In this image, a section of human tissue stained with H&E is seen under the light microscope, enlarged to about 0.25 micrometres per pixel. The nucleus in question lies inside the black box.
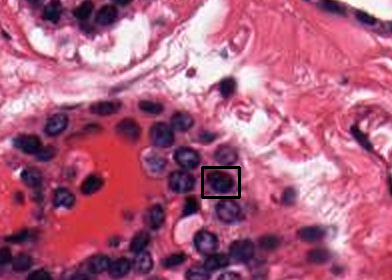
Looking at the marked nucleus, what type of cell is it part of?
thyroid follicular cell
